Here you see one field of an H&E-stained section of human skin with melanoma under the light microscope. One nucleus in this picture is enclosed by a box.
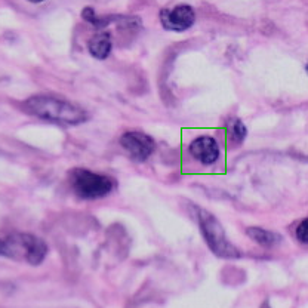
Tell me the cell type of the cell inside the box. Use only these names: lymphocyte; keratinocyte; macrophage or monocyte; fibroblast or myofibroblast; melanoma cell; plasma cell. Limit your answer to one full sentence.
In this section of tissue, the cell inside the box is a plasma cell.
